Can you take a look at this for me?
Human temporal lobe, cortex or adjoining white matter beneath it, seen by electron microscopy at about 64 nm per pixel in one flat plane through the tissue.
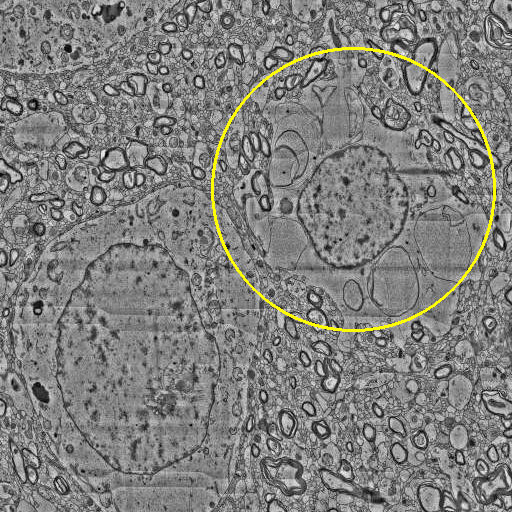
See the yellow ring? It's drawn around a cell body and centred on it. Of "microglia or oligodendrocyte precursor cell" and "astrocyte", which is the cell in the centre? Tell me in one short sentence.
The one in the centre is an astrocyte.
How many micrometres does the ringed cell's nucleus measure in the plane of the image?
In this plane, the nucleus is roughly 8 by 7 micrometres.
